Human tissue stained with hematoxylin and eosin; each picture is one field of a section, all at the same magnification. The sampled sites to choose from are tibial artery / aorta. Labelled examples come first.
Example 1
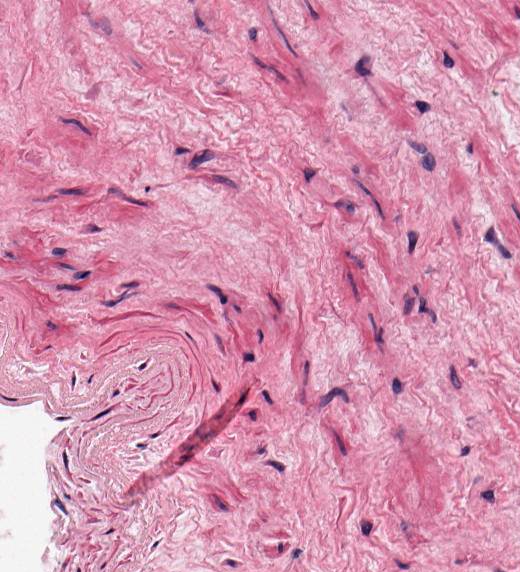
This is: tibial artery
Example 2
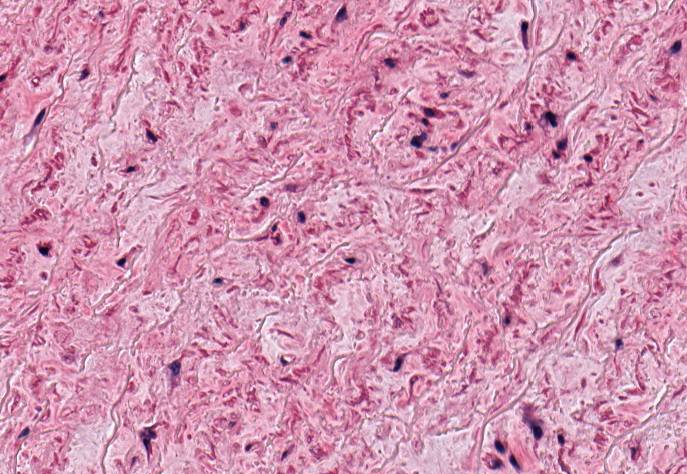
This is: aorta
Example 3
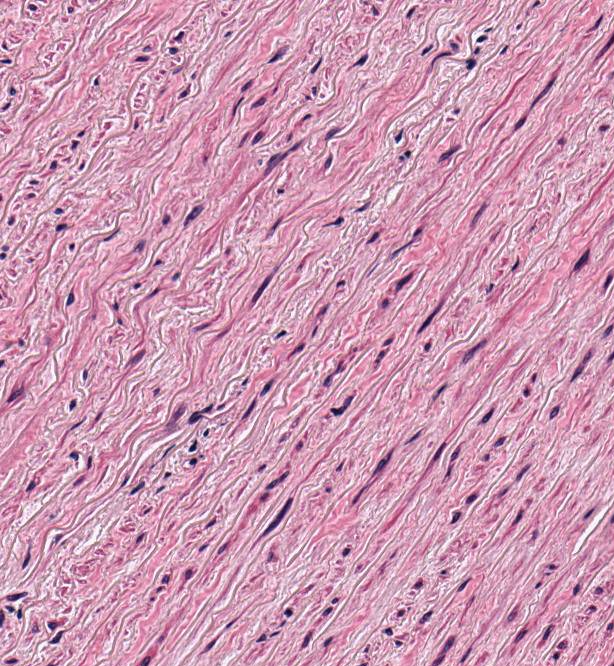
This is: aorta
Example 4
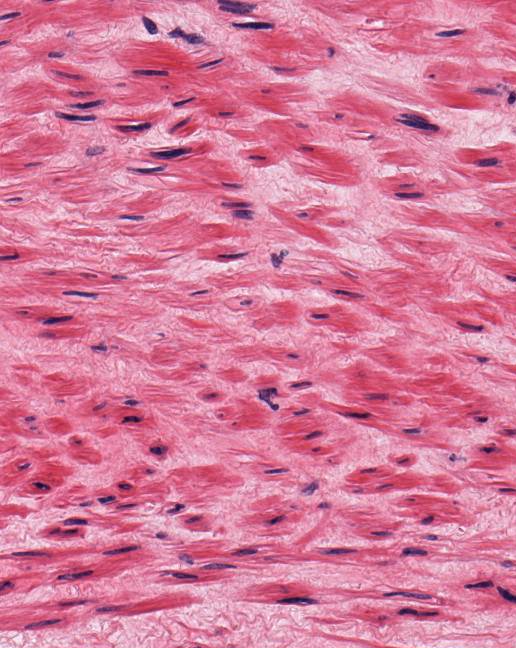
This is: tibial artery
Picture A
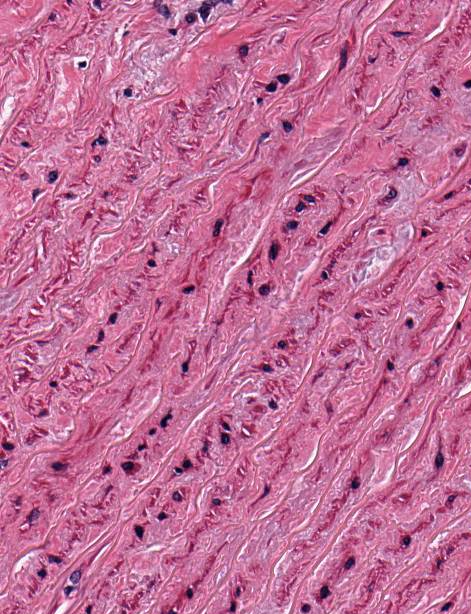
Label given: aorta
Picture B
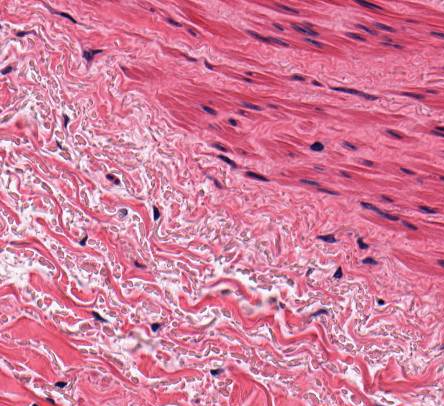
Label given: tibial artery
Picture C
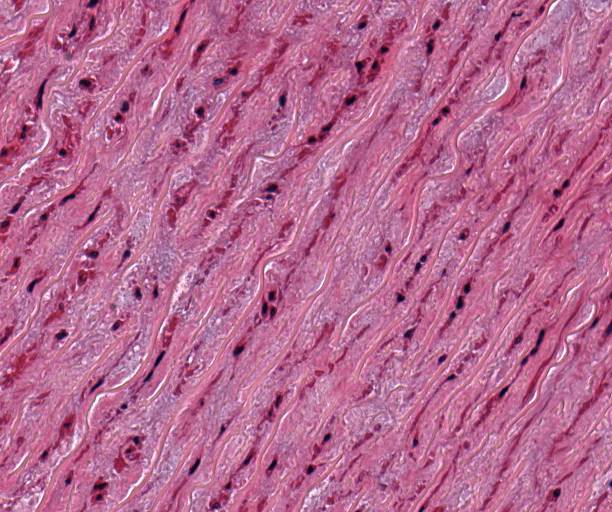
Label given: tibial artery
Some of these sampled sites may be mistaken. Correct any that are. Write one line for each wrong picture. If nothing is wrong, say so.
C: aorta, not tibial artery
